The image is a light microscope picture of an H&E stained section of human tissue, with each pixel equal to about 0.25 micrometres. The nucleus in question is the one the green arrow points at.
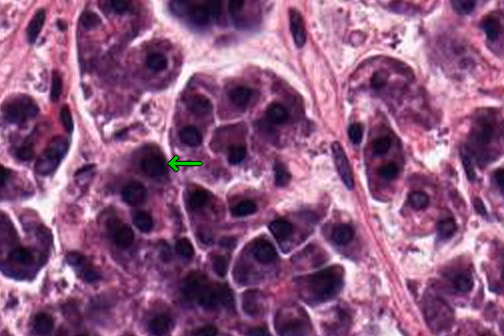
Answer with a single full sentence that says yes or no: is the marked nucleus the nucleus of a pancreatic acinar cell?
Yes, the marked nucleus belongs to a pancreatic acinar cell in this image.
